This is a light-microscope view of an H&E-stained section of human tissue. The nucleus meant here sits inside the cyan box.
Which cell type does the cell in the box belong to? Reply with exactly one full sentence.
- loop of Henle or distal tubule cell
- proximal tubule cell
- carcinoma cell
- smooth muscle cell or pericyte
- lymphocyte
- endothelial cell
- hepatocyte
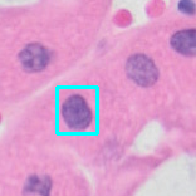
Among the cells in this section, the cell in the box is a proximal tubule cell.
